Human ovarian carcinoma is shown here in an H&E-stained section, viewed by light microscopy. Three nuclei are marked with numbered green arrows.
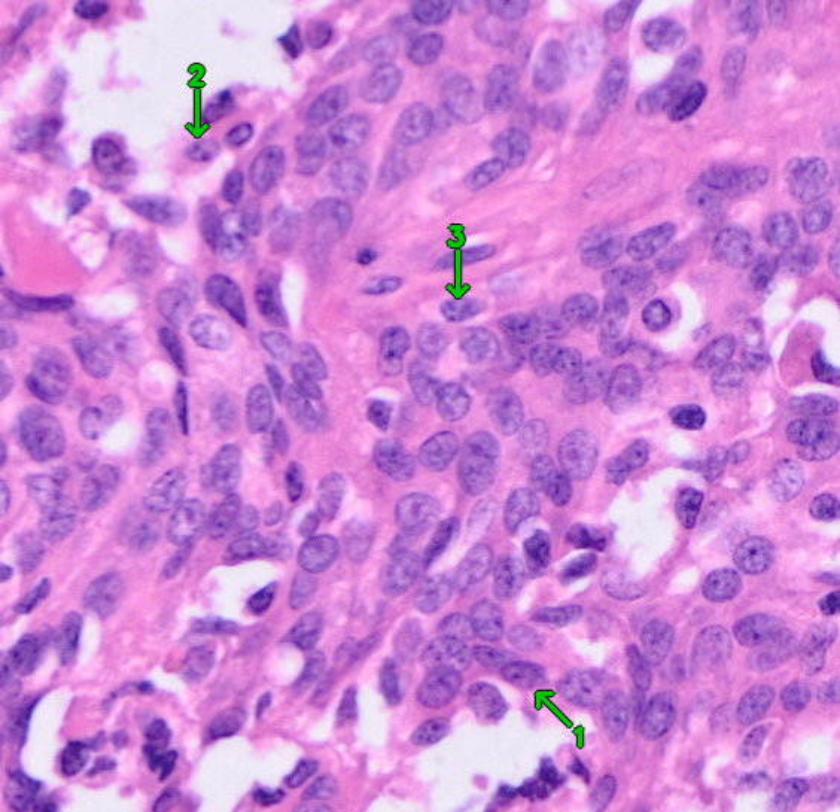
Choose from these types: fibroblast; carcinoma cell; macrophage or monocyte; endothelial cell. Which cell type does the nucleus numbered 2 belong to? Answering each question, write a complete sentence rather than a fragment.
The cell marked with the number 2 is a macrophage or monocyte.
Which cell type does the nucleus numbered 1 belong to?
Marked with the number 1, this cell is a carcinoma cell.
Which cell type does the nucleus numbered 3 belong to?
In this section, number 3 marks a macrophage or monocyte.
